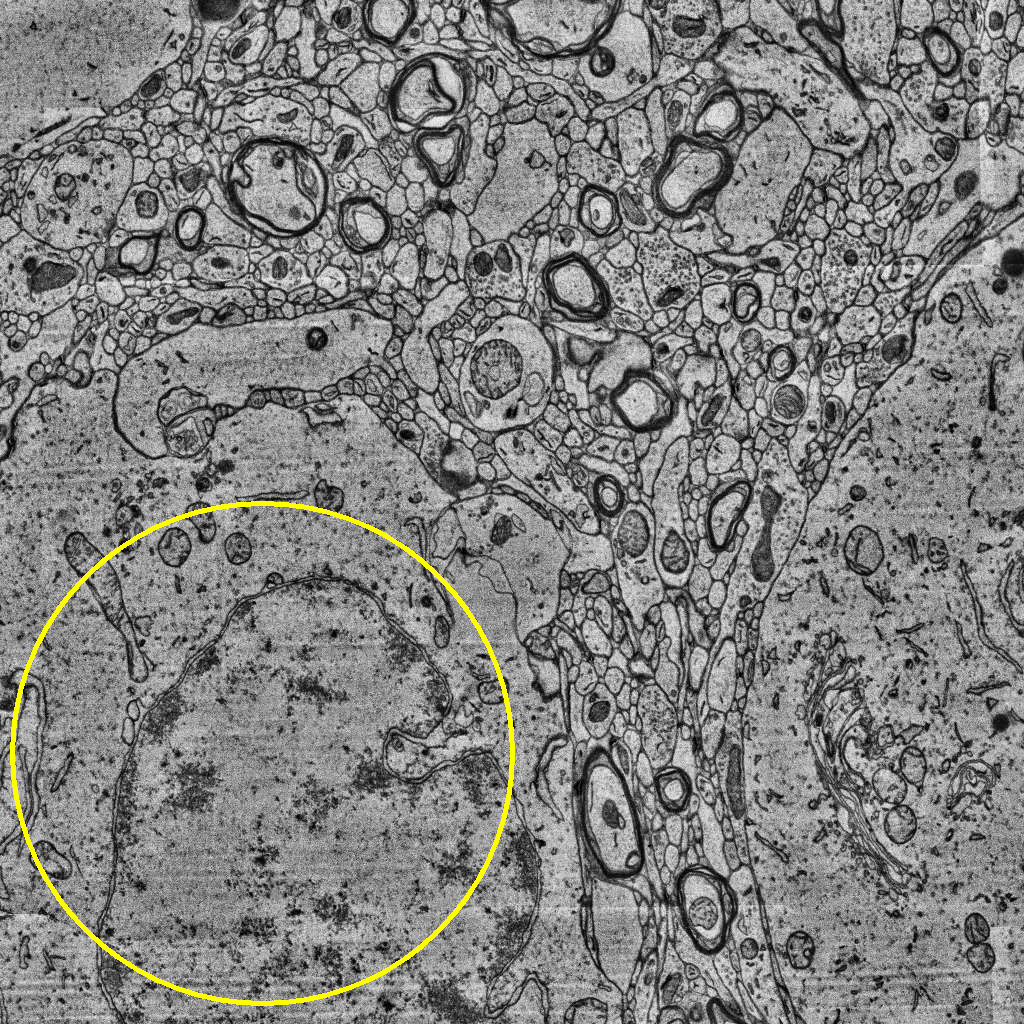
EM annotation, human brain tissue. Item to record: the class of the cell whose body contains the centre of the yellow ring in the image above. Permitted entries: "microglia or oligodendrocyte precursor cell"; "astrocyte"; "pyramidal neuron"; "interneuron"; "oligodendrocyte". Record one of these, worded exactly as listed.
interneuron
